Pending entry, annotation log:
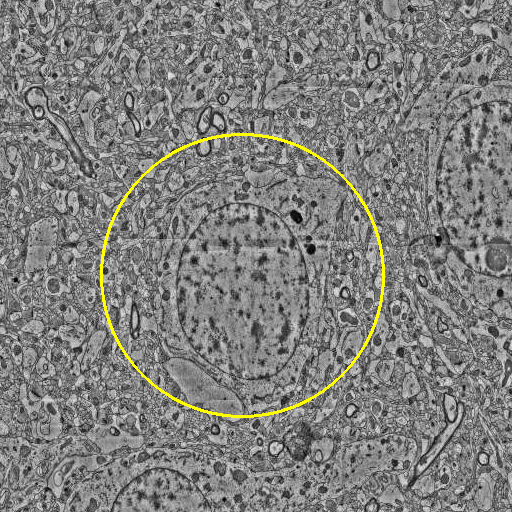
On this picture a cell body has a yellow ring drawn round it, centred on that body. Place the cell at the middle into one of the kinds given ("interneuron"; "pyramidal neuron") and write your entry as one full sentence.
The cell body at the middle of the yellow ring belongs to a pyramidal neuron.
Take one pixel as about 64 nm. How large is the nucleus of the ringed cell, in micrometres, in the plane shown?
Roughly 11 micrometres by 9 micrometres, in this plane.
